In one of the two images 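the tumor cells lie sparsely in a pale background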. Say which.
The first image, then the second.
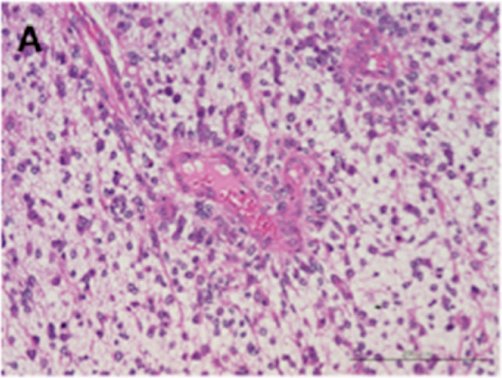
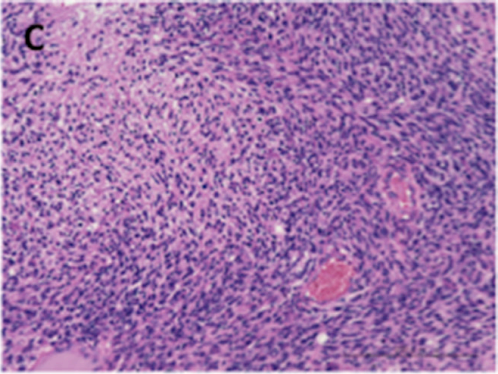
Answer: the first image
